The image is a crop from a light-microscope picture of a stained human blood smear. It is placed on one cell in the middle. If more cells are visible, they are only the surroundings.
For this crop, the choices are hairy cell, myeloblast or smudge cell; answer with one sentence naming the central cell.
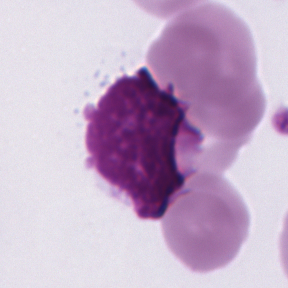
The central cell in this smear crop is a smudge cell.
